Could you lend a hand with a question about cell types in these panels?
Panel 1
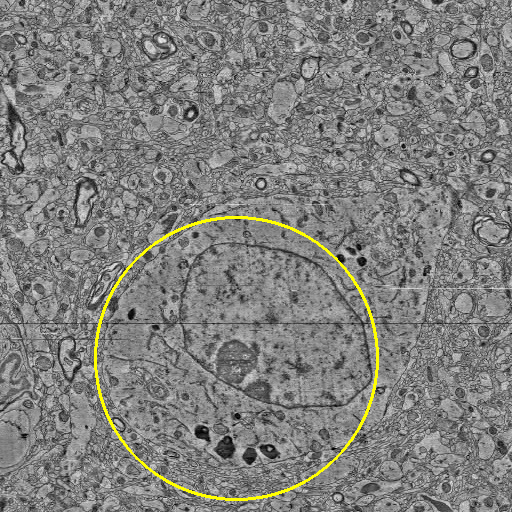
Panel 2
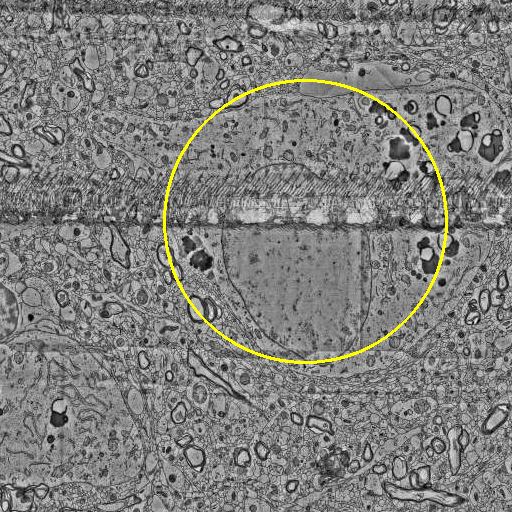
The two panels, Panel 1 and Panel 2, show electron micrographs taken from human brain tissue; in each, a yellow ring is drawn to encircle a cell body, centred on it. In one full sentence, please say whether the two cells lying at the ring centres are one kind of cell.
Yes, the cells at the ring centres in the two panels are one kind of cell.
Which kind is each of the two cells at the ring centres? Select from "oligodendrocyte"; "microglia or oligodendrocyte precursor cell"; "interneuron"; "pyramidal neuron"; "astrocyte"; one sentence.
Each of the ringed cells, first and second, is a pyramidal neuron.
